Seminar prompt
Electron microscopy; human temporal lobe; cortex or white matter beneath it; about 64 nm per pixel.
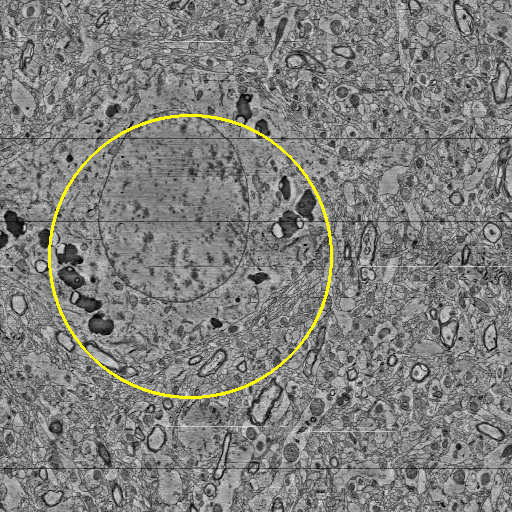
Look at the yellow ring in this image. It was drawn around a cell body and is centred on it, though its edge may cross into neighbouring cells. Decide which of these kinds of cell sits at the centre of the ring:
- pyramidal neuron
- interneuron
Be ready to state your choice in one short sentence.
The kind of cell at the ring's centre is a pyramidal neuron.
